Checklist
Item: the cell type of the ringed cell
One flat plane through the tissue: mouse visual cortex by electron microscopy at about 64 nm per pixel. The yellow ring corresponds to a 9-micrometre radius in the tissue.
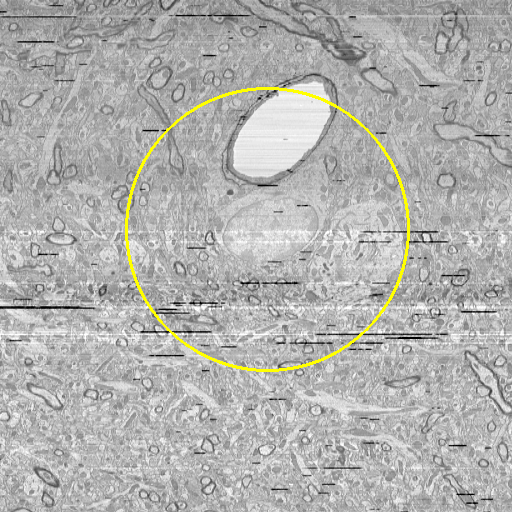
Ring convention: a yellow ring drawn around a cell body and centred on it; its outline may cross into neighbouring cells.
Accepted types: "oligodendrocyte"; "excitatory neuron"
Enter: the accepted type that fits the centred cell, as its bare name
oligodendrocyte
